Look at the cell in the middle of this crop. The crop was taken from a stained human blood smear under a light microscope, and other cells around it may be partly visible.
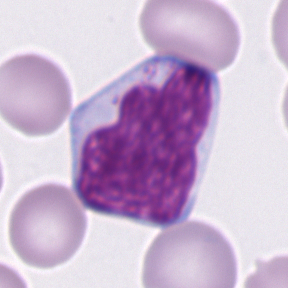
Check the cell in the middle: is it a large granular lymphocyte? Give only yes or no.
yes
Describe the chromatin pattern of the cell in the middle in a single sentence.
The nucleus shows chromatin that is coarsely clumped.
